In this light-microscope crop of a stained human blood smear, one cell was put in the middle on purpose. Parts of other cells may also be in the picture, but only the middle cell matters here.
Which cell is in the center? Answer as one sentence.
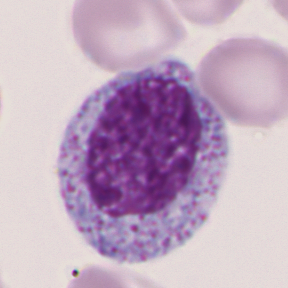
For this crop, the cell in the middle is a promyelocyte.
